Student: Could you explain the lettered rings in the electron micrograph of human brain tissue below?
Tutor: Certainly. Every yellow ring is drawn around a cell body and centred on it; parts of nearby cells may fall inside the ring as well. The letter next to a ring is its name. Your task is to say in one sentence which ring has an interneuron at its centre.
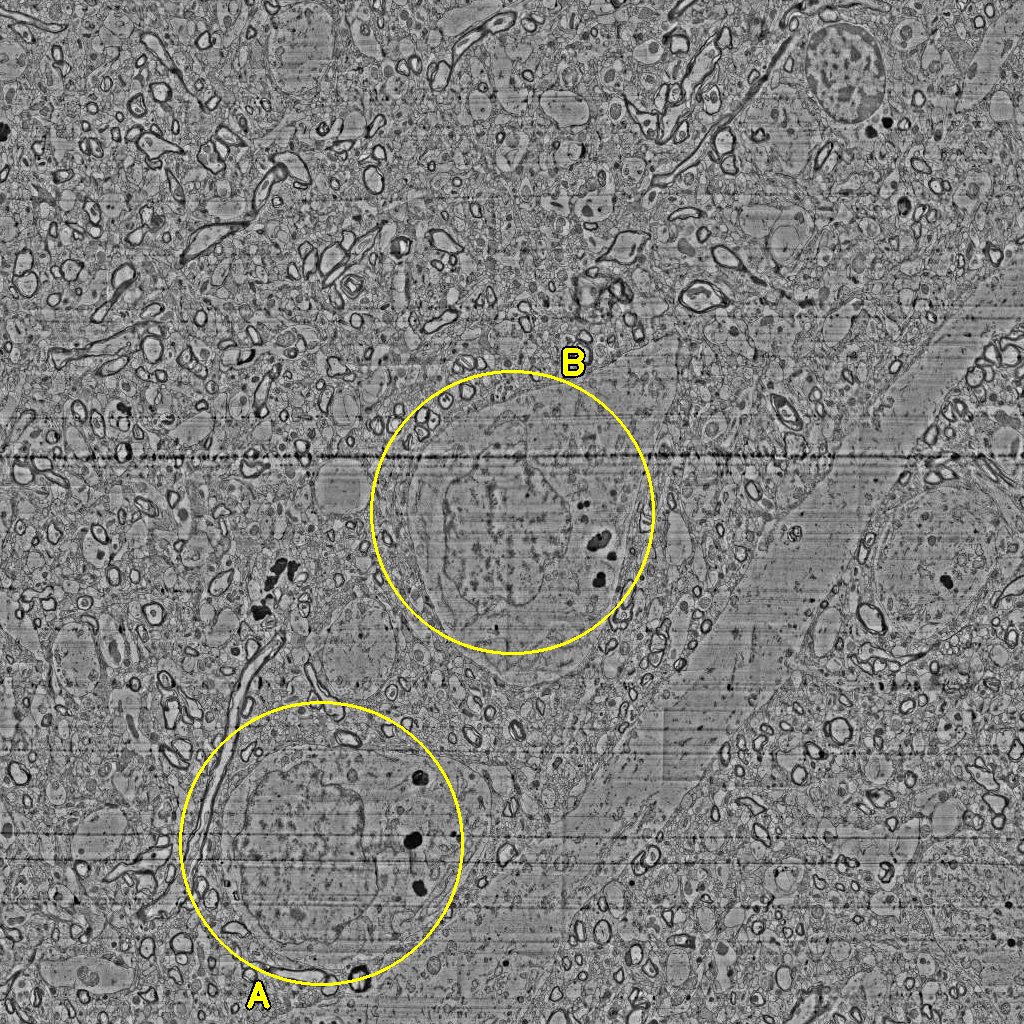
The cell at the centre of ring A is the one.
